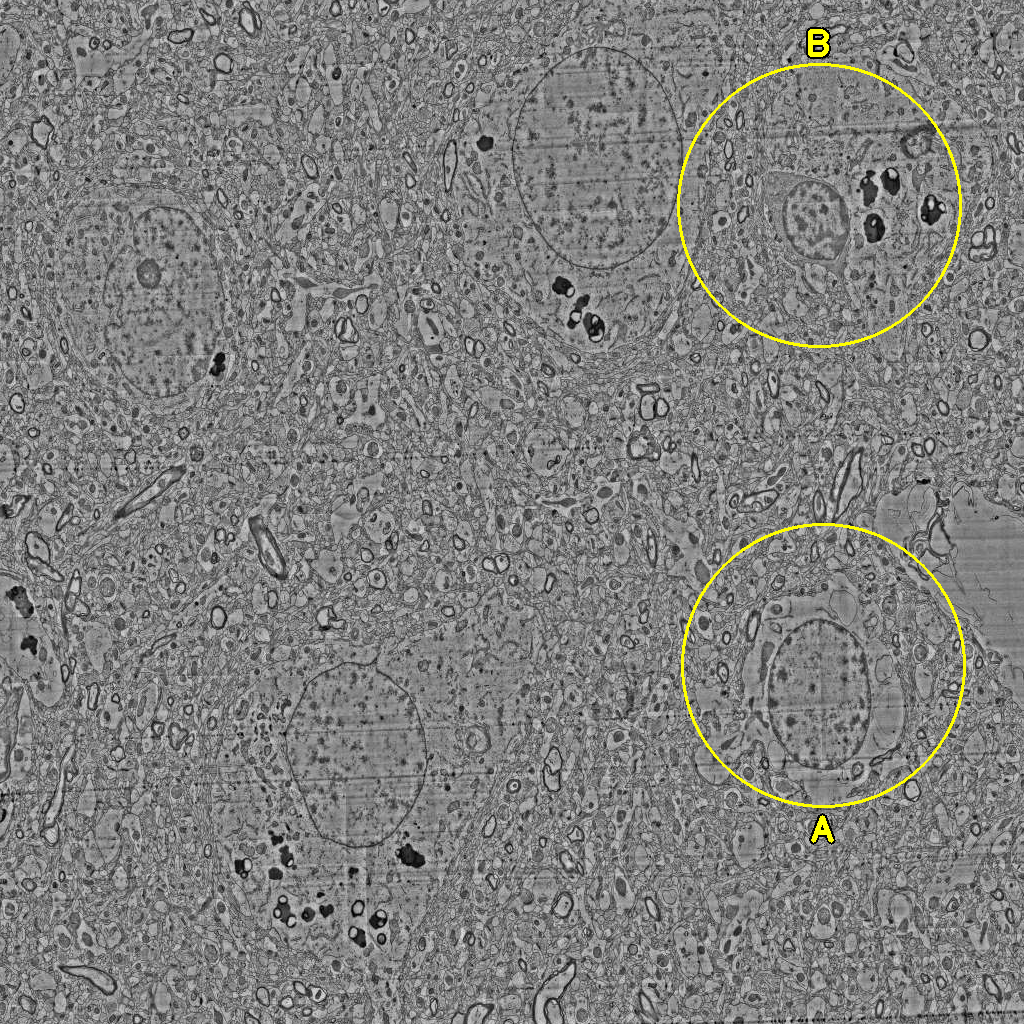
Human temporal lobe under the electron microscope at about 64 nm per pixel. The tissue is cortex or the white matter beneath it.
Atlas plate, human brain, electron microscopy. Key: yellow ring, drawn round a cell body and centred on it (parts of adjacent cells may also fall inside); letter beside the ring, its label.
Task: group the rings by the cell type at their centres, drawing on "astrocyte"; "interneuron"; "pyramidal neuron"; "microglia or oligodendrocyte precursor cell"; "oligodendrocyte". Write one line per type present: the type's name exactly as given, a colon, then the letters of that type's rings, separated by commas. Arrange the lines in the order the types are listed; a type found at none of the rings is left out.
astrocyte: A
oligodendrocyte: B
